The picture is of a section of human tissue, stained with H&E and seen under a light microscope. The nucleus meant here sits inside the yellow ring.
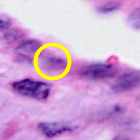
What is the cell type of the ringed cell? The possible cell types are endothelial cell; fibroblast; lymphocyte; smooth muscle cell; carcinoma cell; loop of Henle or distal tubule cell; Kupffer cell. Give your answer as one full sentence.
In the stained section, the ringed cell is an endothelial cell.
